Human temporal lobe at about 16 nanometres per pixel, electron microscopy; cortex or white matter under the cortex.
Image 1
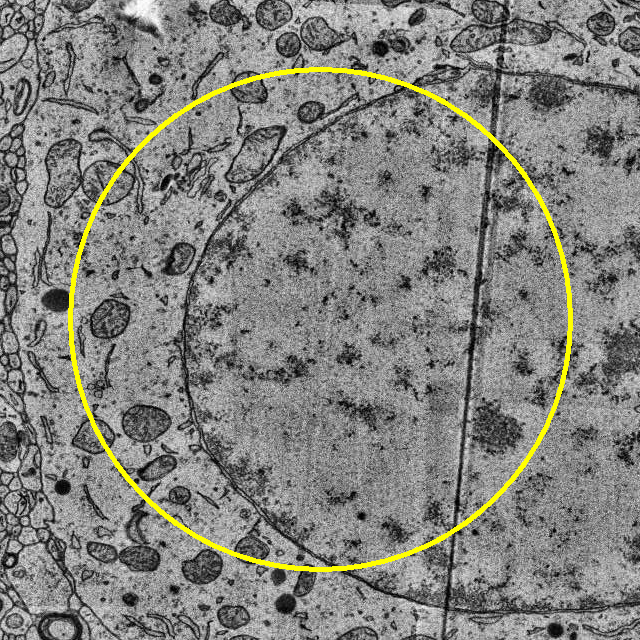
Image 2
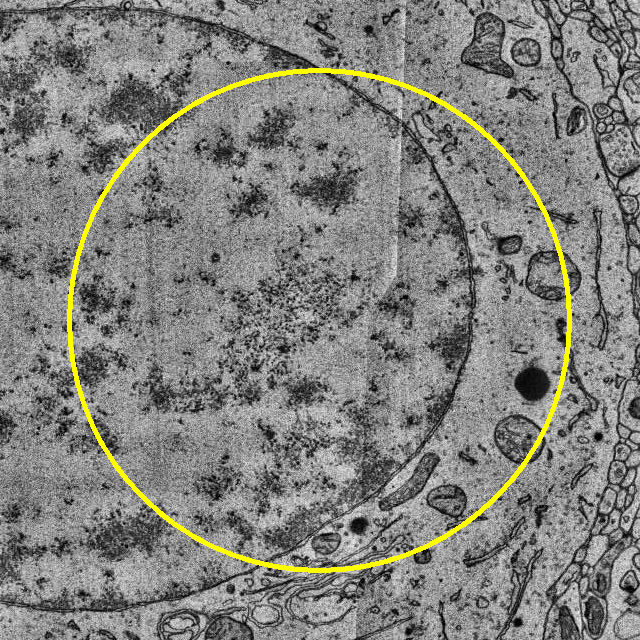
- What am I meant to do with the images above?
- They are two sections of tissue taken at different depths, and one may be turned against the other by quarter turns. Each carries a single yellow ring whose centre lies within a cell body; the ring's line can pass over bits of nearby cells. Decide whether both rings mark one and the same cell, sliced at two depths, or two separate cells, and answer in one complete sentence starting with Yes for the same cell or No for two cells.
Yes, the rings do not mark different cells but one cell.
